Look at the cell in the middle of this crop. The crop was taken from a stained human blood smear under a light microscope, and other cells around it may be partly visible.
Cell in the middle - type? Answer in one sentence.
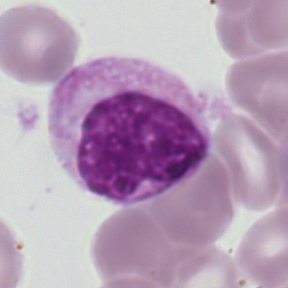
The cell the crop is centered on is a metamyelocyte.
